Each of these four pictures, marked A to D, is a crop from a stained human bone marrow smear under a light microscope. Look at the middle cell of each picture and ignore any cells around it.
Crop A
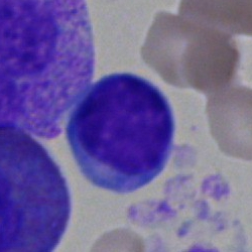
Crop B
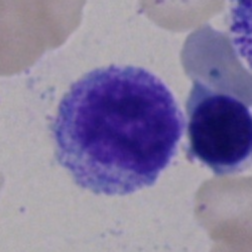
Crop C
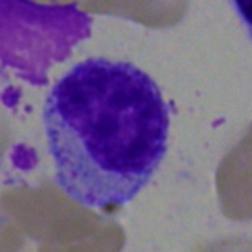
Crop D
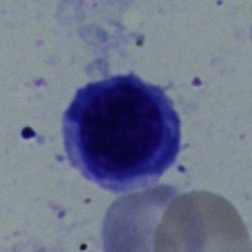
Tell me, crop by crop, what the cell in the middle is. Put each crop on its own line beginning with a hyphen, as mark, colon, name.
- A: lymphocyte
- B: myelocyte
- C: myelocyte
- D: normoblast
